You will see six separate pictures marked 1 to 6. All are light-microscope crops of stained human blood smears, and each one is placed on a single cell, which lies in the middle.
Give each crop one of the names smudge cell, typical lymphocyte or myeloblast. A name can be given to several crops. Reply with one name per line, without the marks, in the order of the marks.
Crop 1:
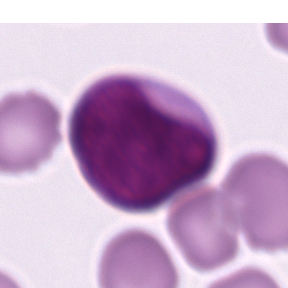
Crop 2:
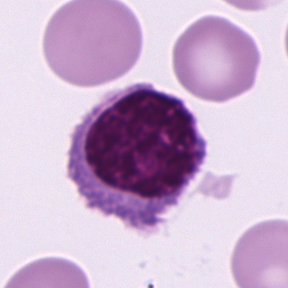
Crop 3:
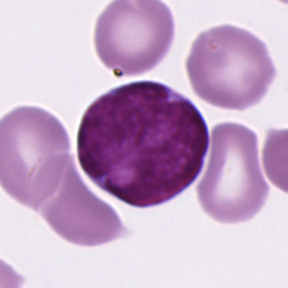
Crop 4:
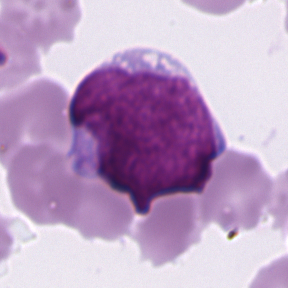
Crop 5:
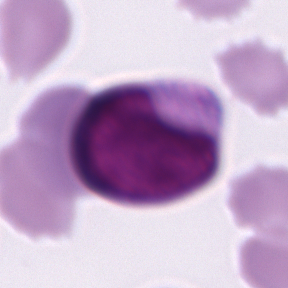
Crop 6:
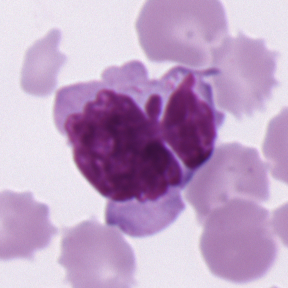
myeloblast
typical lymphocyte
myeloblast
myeloblast
myeloblast
myeloblast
